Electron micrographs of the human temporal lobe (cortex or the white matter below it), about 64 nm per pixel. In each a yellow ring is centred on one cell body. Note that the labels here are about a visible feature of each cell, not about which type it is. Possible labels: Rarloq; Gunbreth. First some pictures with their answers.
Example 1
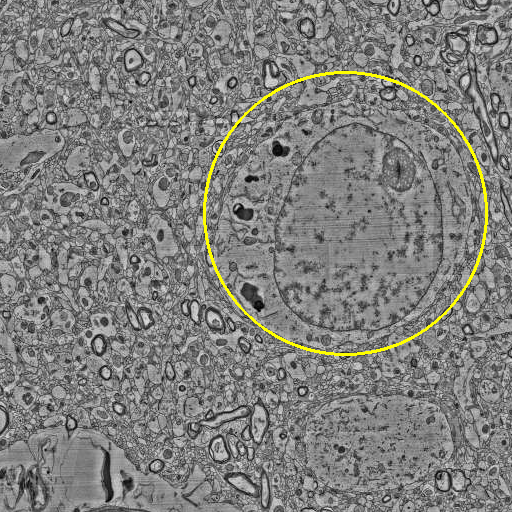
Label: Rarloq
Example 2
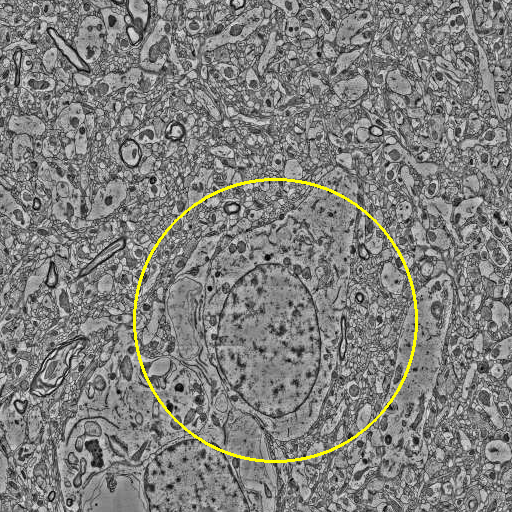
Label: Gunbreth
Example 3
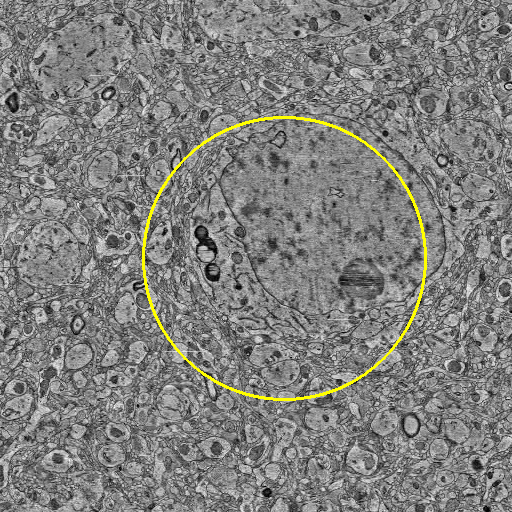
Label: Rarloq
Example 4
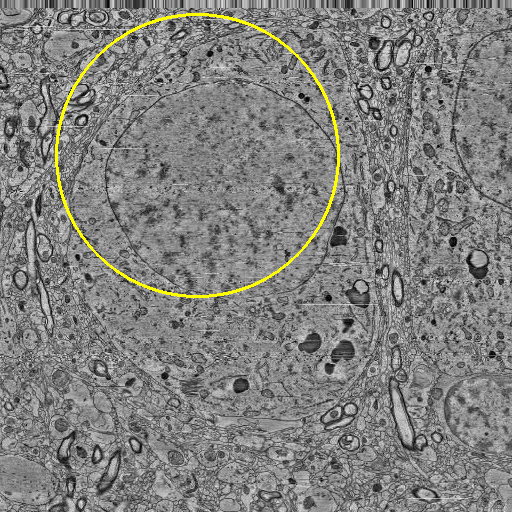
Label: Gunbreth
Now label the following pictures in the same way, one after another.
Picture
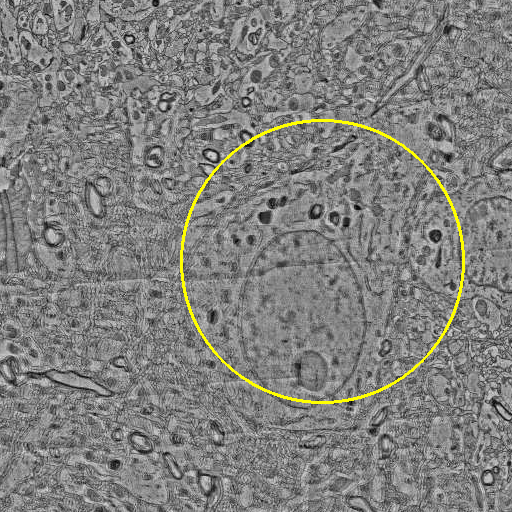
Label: Rarloq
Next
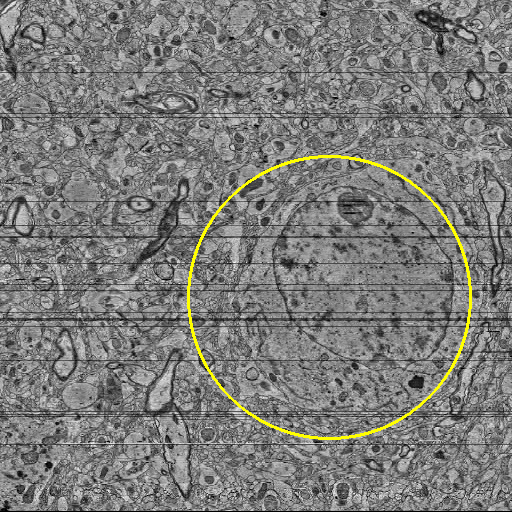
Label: Rarloq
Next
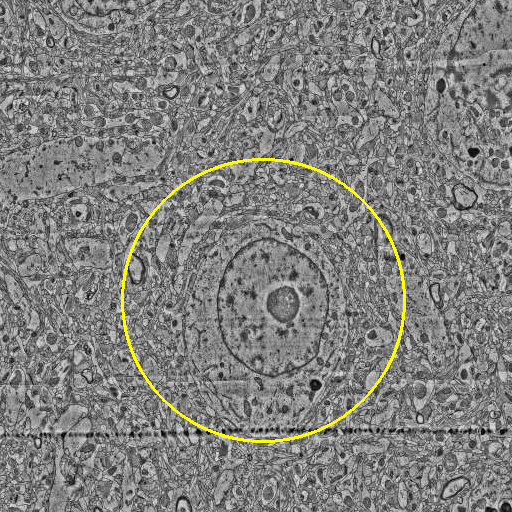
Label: Rarloq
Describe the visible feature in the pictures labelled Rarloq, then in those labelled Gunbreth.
In Rarloq: nucleolus seen. In Gunbreth: no nucleolus seen.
